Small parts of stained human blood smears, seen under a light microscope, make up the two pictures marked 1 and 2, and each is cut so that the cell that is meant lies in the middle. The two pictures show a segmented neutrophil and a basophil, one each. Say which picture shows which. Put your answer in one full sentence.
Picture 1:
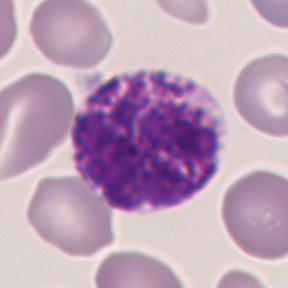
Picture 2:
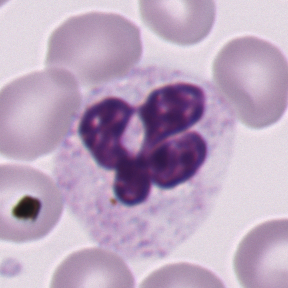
It is picture 1 that shows a basophil, and picture 2 that shows a segmented neutrophil.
